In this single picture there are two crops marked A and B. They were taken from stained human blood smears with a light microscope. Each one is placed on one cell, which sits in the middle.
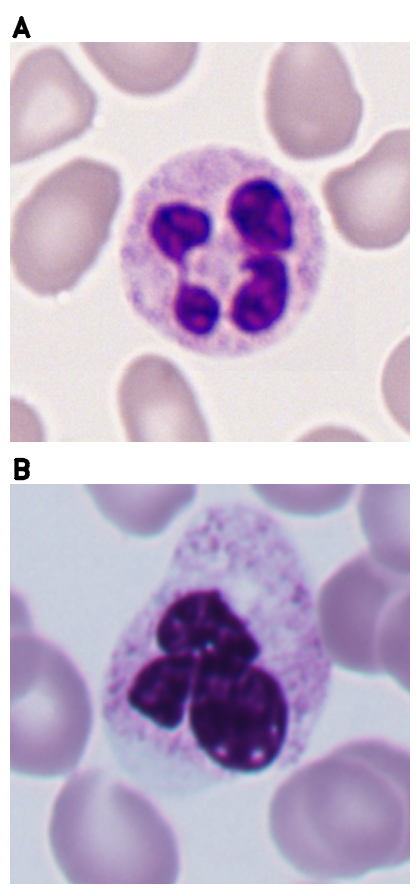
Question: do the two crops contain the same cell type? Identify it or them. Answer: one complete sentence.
Yes, both crops in this set show segmented neutrophils.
